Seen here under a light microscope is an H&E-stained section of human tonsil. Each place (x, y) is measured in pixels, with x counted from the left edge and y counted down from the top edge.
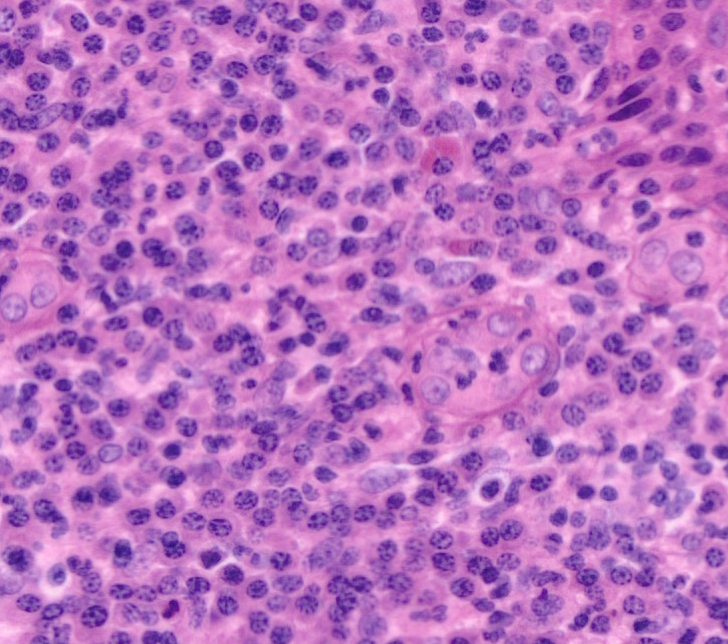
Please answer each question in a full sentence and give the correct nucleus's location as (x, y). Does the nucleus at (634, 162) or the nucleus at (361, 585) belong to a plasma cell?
The nucleus at (361, 585) is the member of the pair belonging to a plasma cell.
